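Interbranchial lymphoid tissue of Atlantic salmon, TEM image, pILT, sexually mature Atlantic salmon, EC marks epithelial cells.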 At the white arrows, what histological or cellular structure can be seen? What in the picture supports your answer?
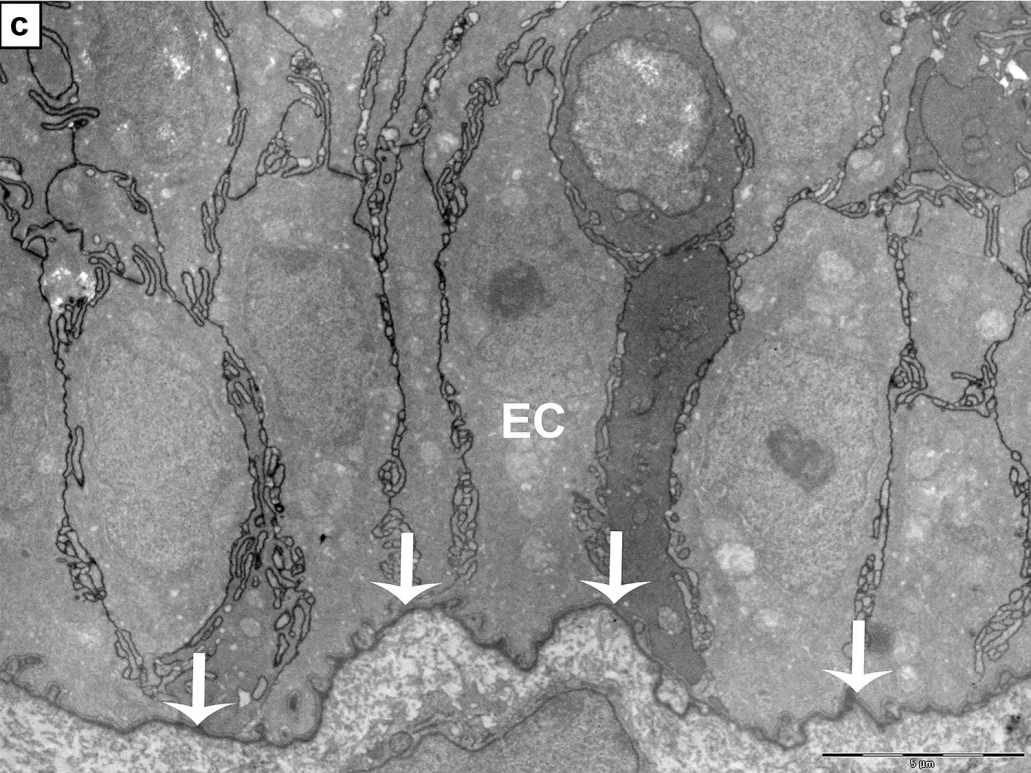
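The arrows point to a thin dense line along the bases of the epithelial cells. The line separates the cell layer from the paler underlying tissue. The line forms undulating protrusions that reach up between the cell bases.
Hence: basal membrane.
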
